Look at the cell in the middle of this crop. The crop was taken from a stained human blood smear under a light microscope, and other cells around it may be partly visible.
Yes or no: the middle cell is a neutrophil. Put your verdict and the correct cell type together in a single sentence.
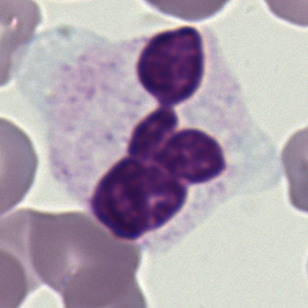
Yes, the cell in the middle of the crop is a neutrophil.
